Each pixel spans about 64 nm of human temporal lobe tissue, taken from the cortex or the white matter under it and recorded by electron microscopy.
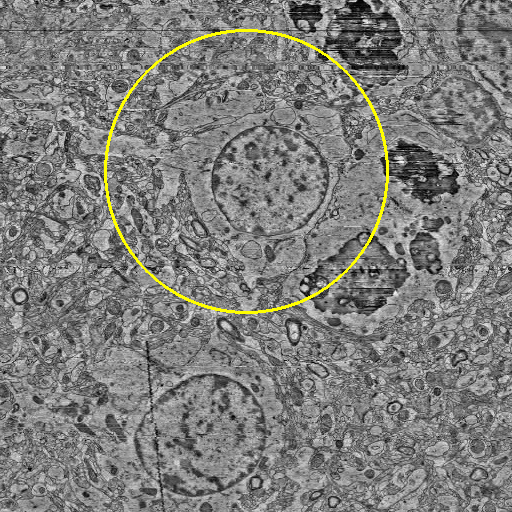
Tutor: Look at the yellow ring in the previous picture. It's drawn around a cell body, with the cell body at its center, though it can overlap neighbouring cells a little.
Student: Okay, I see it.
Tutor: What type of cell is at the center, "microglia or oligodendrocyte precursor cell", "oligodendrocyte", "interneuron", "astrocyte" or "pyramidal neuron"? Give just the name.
astrocyte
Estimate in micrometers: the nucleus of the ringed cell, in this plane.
The nucleus is about 7 micrometres across in this plane.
